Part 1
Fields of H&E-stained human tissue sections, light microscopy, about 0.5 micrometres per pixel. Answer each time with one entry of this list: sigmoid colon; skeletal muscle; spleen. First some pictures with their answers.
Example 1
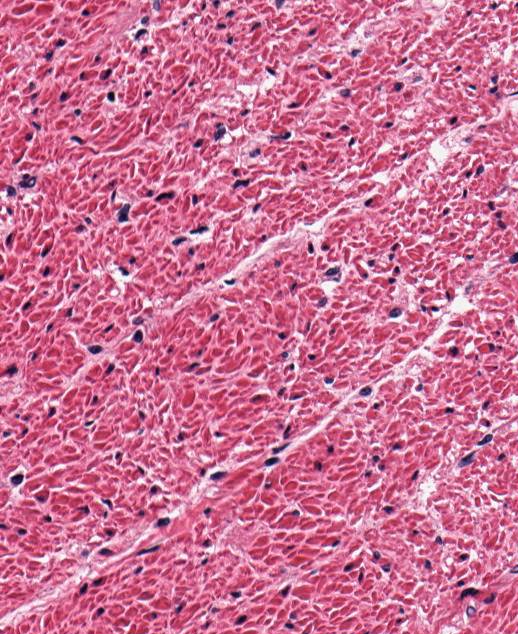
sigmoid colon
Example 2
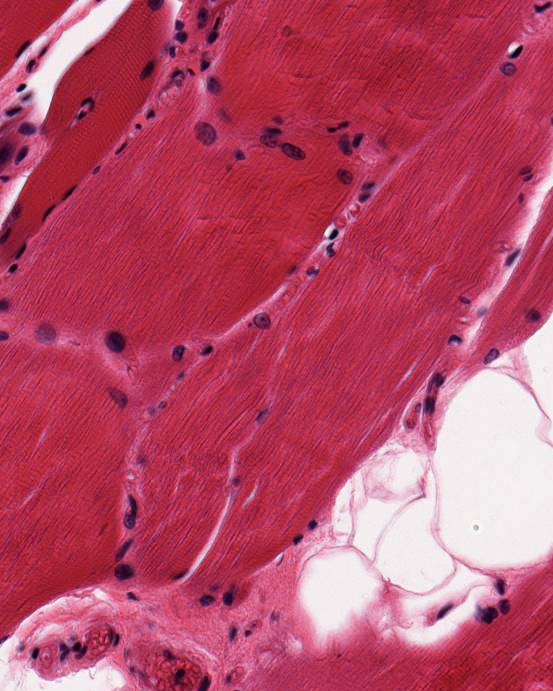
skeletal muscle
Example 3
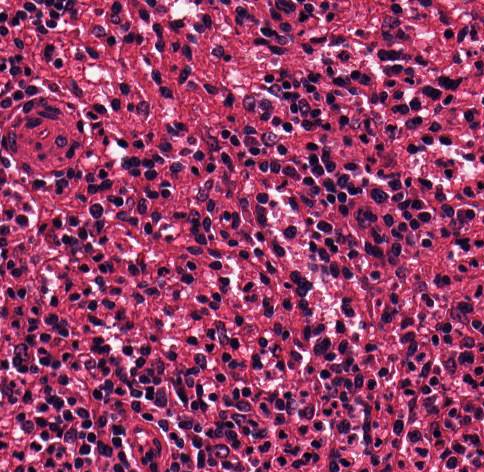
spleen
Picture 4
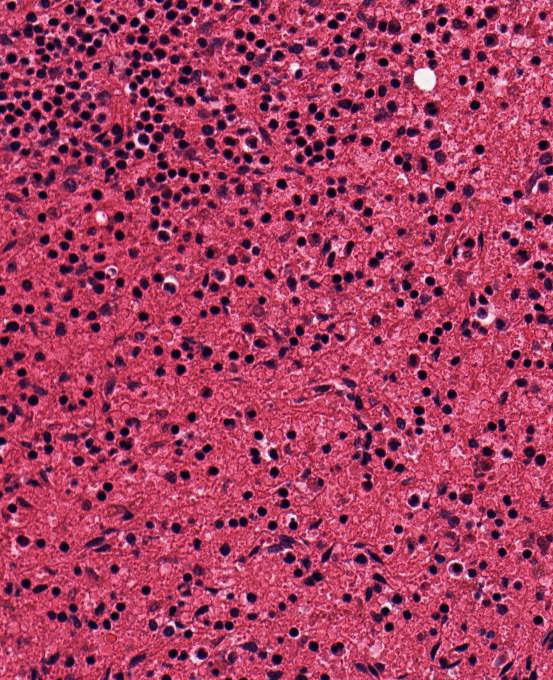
spleen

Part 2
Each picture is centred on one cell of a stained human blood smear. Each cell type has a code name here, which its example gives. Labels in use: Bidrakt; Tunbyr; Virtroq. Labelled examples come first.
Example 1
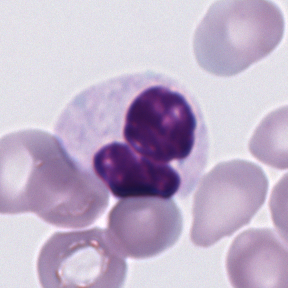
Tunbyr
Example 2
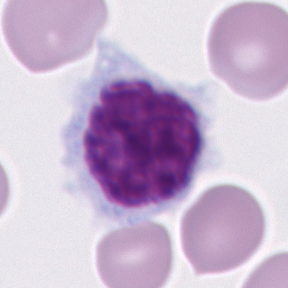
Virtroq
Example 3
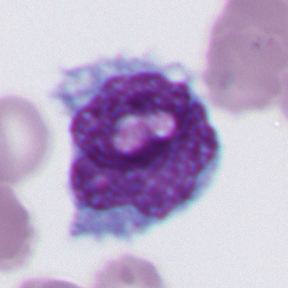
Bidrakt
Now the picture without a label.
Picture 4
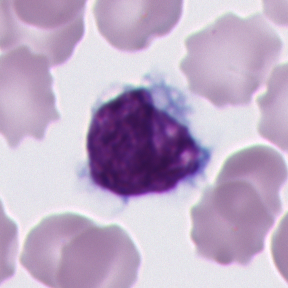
Virtroq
